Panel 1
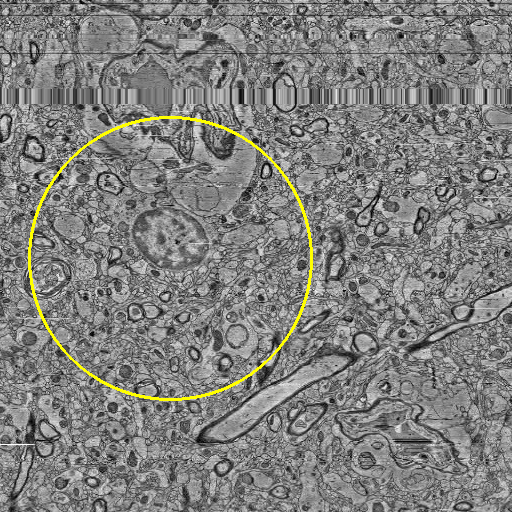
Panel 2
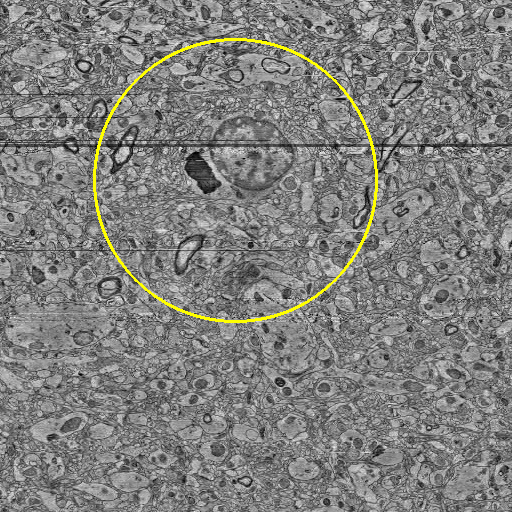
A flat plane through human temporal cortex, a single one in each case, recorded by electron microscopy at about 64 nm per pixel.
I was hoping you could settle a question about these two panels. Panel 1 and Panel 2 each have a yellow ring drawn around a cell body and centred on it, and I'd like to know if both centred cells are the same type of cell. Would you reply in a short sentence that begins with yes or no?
Yes, both are the same type of cell.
